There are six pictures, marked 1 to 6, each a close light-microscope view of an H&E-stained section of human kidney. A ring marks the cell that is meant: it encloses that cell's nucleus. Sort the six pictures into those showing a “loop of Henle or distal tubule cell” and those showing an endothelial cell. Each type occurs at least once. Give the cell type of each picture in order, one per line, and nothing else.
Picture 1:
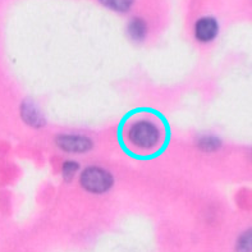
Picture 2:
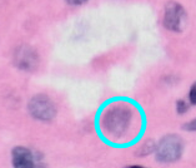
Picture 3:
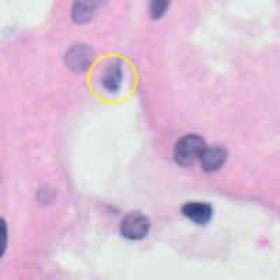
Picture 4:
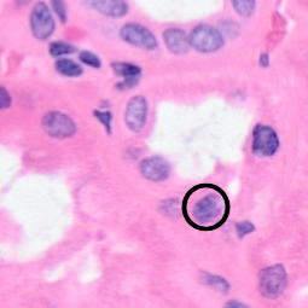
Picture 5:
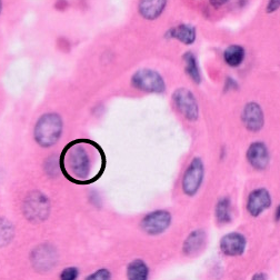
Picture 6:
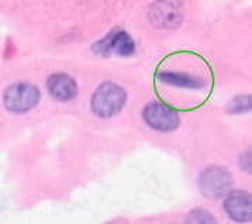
loop of Henle or distal tubule cell
loop of Henle or distal tubule cell
endothelial cell
loop of Henle or distal tubule cell
loop of Henle or distal tubule cell
endothelial cell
